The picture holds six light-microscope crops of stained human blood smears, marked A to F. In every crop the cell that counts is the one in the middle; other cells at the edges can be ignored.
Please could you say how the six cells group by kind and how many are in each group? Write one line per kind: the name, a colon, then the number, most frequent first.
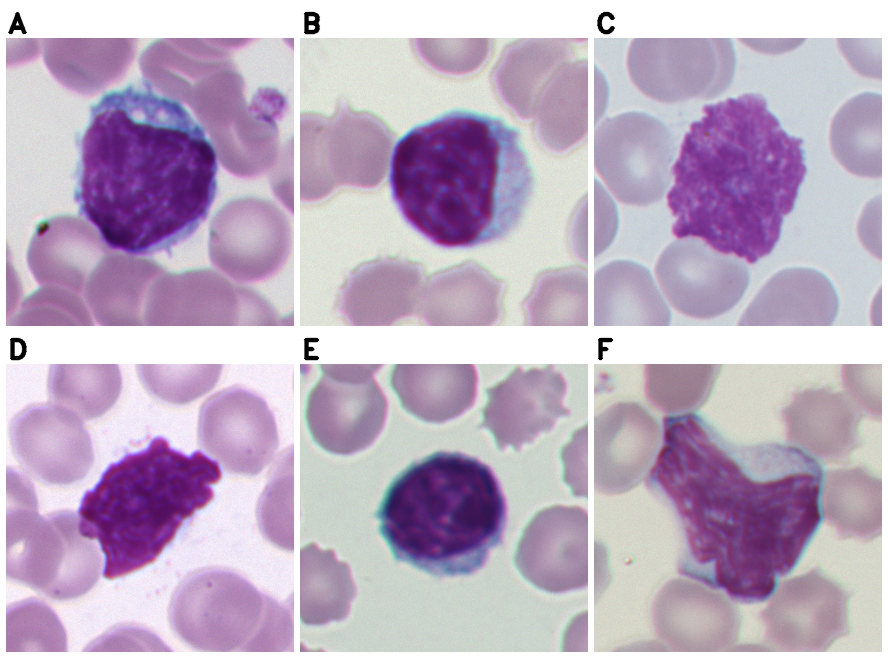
typical lymphocyte: 4
smudge cell: 2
